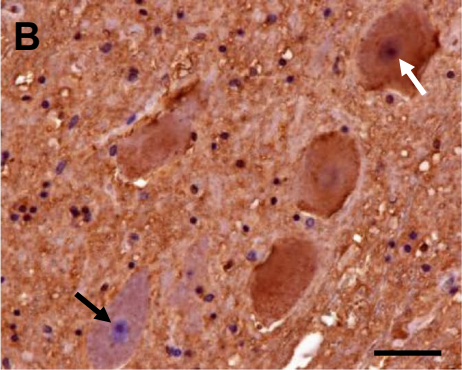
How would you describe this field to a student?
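One neuron in the upper right holds a round nucleus with a dark-stained centre. Another in the lower left is pale bluish rather than brown, with a bluish nucleus and no brown in it. The surrounding neuropil is brown, granular and dotted with small vacuoles.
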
